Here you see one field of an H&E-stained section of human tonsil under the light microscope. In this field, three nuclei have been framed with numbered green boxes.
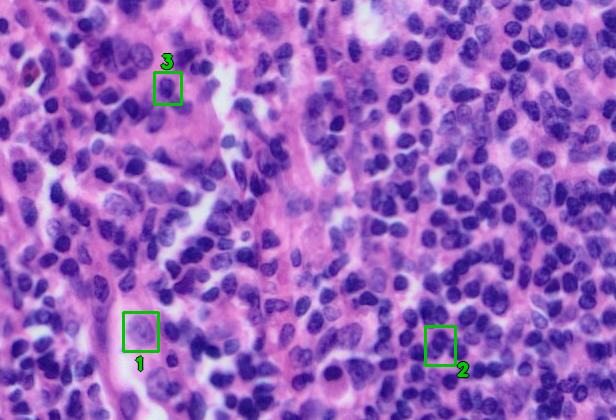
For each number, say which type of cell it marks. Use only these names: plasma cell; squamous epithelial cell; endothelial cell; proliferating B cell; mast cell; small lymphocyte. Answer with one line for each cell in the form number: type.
1: endothelial cell
2: small lymphocyte
3: endothelial cell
